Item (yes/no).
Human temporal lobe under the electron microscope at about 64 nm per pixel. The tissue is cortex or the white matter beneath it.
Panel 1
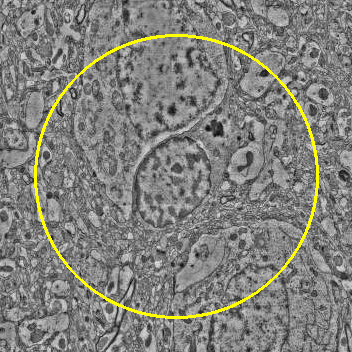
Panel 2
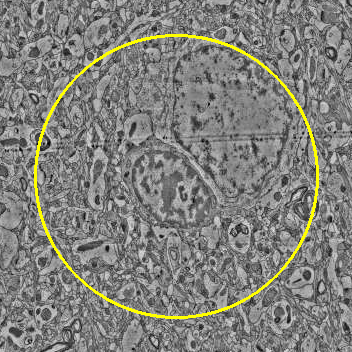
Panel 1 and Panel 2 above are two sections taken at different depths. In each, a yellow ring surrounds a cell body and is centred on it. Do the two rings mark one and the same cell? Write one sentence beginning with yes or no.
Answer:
No, the two rings are not on the same cell.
